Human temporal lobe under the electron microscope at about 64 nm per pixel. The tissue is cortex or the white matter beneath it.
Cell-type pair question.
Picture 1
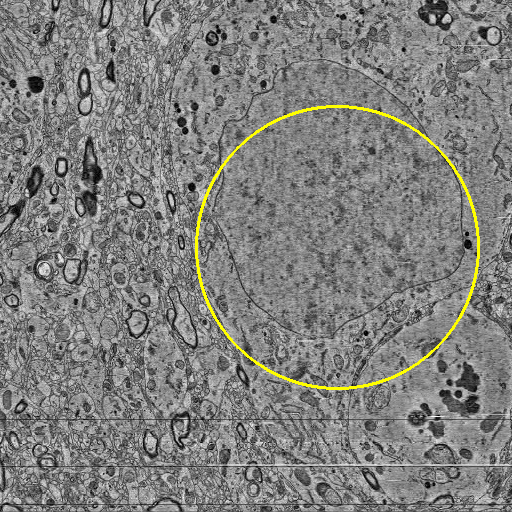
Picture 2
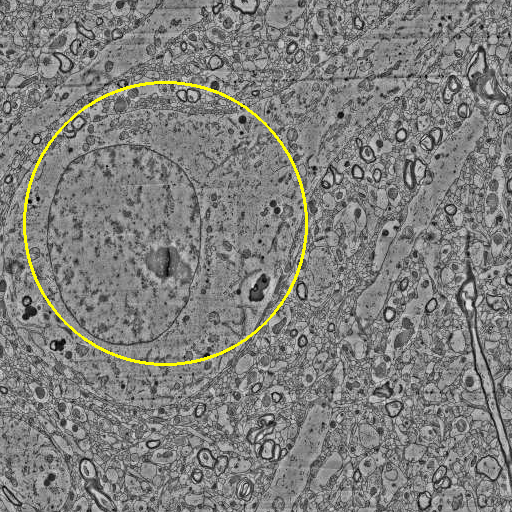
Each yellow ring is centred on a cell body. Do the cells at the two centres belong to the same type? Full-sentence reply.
Yes, the two cells belong to the same type.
